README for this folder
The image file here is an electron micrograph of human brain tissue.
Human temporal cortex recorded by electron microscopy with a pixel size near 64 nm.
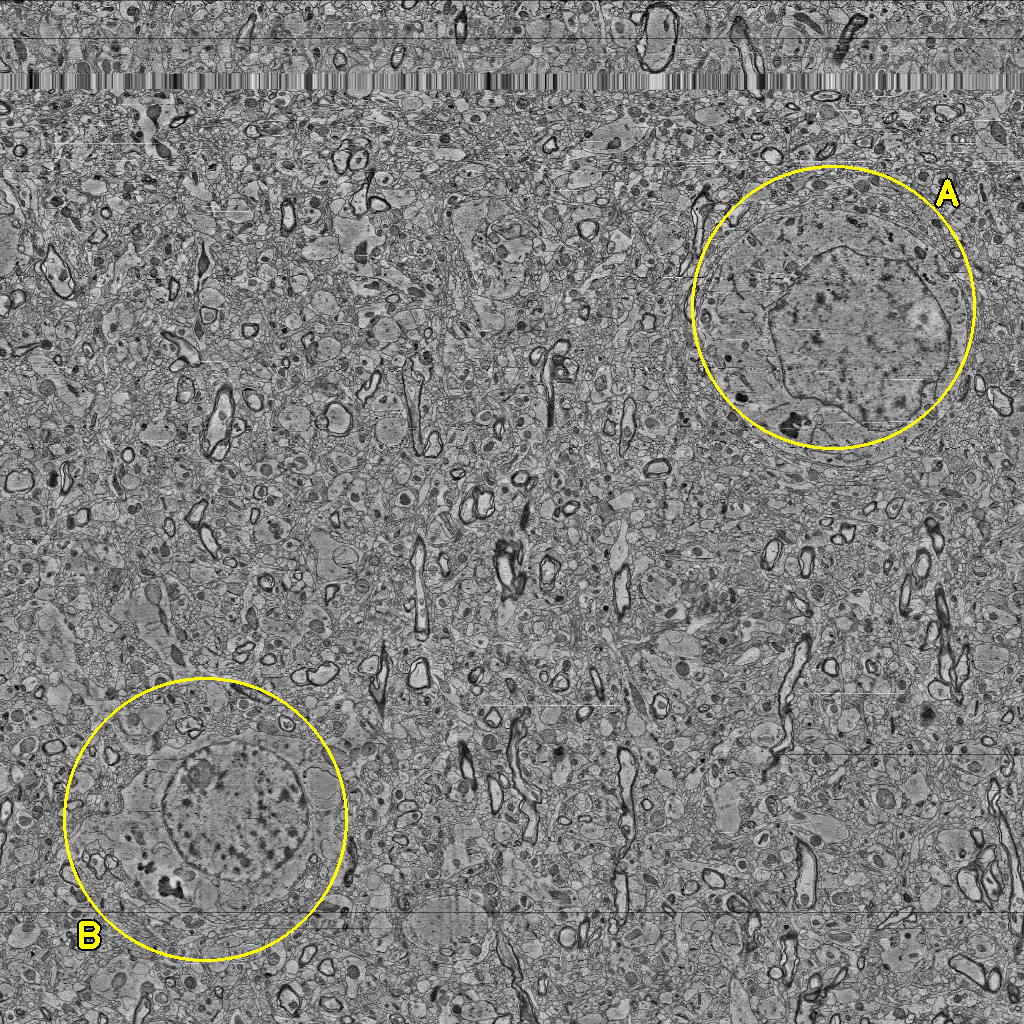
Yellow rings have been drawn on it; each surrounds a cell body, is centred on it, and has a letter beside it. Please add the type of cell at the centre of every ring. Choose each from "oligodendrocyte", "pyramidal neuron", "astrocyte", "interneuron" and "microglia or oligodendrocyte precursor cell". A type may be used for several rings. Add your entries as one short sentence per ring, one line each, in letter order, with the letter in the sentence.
Ring A marks the cell body of a pyramidal neuron.
Ring B marks the cell body of an astrocyte.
